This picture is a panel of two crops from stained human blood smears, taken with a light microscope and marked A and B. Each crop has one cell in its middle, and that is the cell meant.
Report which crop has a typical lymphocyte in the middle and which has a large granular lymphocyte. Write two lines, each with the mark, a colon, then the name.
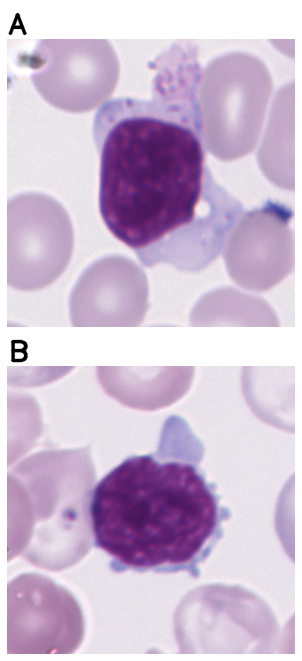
A: large granular lymphocyte
B: typical lymphocyte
